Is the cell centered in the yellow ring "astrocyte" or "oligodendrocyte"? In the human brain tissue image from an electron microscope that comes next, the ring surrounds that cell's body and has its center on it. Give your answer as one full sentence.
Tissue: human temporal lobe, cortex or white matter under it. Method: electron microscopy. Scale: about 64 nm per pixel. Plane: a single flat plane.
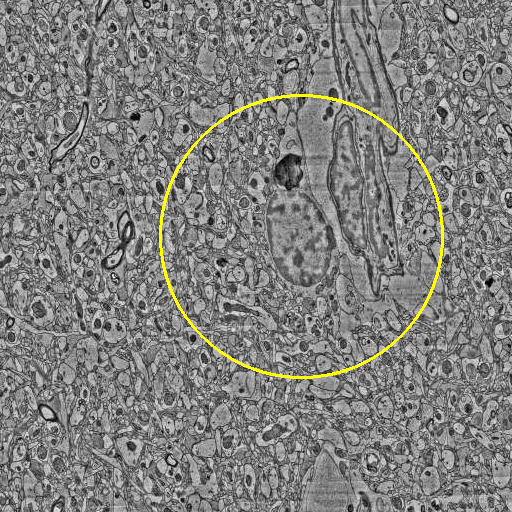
The cell at the center of the yellow ring is an oligodendrocyte in the micrograph.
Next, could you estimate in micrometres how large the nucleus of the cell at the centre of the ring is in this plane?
In this plane the nucleus is about 6 micrometres by 4.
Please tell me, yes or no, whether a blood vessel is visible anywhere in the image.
Yes.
